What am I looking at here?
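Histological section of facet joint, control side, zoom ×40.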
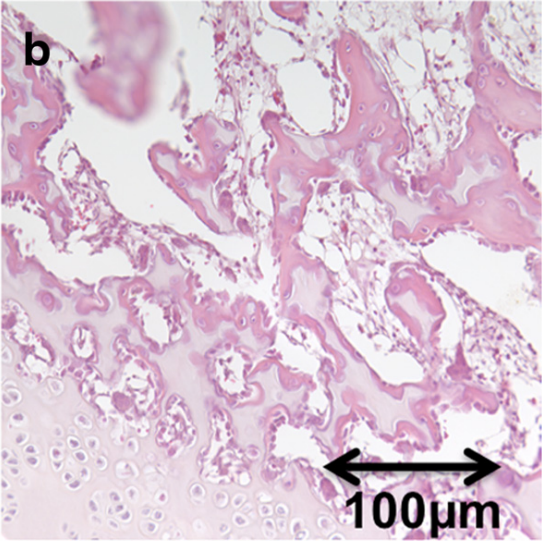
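At the junction of cartilage and bone, rounded chondrocytes sit in pale lacunae within a lightly stained cartilage matrix at the lower left. Above it, irregular pink trabeculae of bone contain small cells in lacunae, and the spaces between them hold loose, pale tissue with scattered nuclei and clear fat vacuoles.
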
